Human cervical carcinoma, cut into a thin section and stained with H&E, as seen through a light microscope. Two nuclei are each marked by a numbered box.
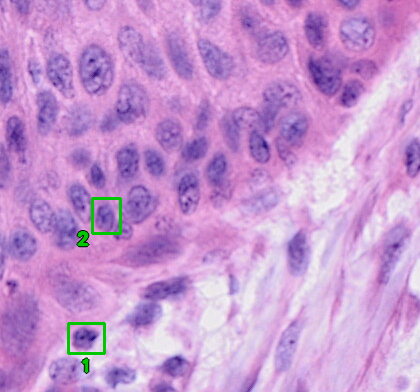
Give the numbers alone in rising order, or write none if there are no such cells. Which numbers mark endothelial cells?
none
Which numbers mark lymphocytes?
1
